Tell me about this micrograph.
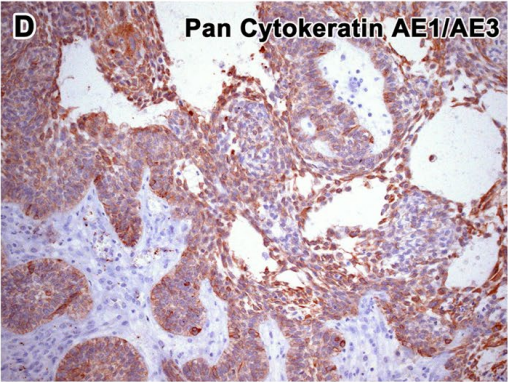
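Tumour tissue of rounded islands and branching epithelial cords in pale stroma, with brown staining across the tumour cells. The brown lies at the cell borders and in the cytoplasm of cells throughout the islands, strongest at their outer rims, while blue nuclei remain visible inside. The stroma between cords is mostly pale with blue nuclei of spindle cells. Large clear spaces open within and between the cords. Islands at the lower left are round and solidly stained.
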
